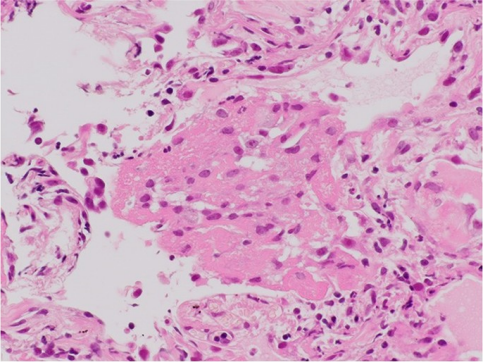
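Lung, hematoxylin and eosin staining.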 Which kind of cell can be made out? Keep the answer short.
Fibroblasts and macrophages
